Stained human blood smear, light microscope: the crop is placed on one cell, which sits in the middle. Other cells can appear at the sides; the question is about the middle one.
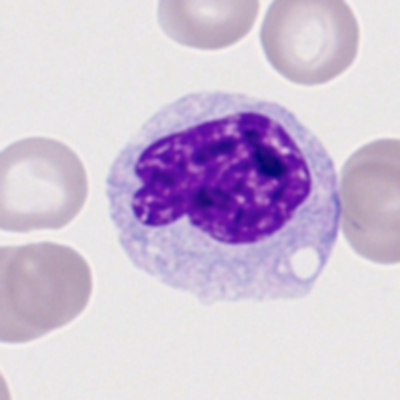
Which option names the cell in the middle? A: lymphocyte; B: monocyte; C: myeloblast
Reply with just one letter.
B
